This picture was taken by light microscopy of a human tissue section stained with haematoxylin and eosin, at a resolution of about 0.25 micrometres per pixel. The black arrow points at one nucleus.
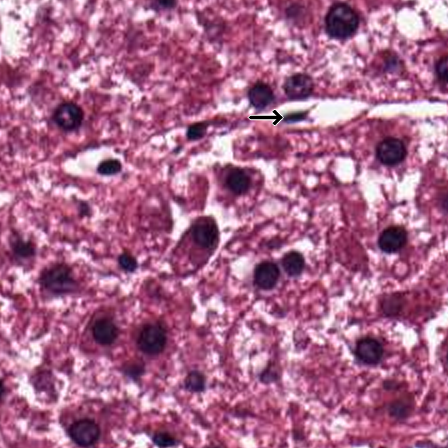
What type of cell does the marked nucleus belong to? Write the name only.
endothelial cell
